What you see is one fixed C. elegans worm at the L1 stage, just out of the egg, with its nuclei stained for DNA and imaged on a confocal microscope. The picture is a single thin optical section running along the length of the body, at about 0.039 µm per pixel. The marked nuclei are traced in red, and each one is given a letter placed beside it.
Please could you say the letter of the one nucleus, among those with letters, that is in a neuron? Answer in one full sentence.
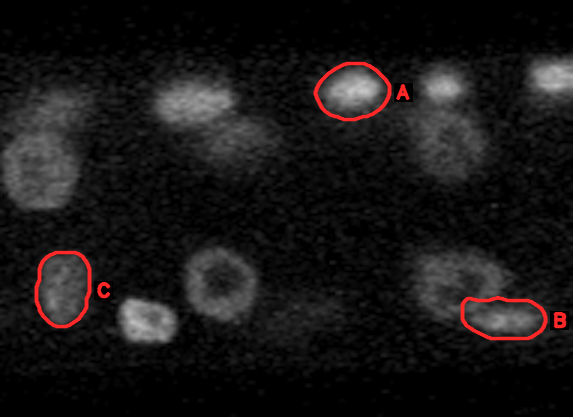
Of the marked nuclei, A is the one in a neuron.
